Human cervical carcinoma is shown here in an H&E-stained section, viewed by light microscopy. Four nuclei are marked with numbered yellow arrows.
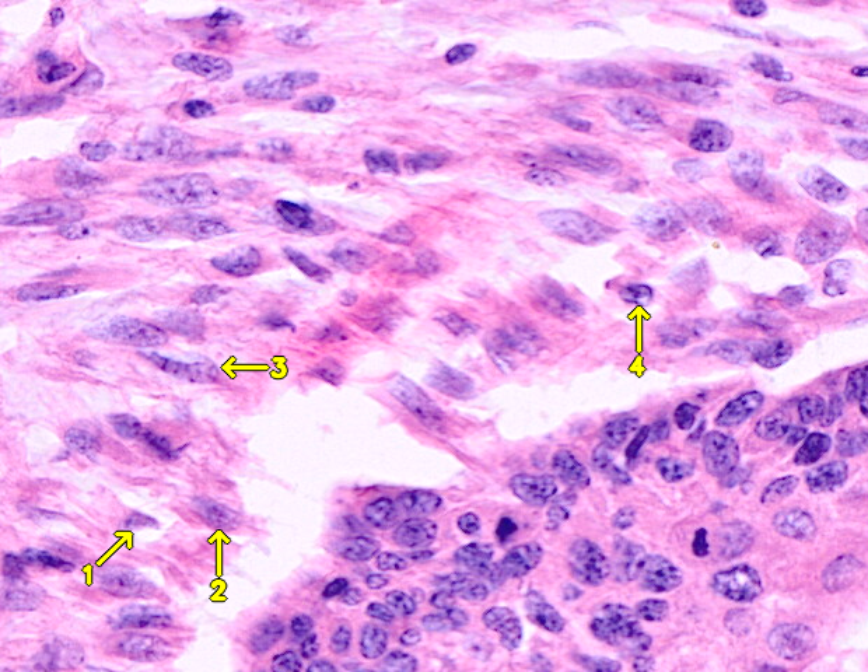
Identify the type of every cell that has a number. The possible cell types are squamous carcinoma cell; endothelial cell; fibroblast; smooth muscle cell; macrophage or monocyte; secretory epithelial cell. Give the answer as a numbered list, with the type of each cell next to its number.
1. fibroblast
2. fibroblast
3. fibroblast
4. macrophage or monocyte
